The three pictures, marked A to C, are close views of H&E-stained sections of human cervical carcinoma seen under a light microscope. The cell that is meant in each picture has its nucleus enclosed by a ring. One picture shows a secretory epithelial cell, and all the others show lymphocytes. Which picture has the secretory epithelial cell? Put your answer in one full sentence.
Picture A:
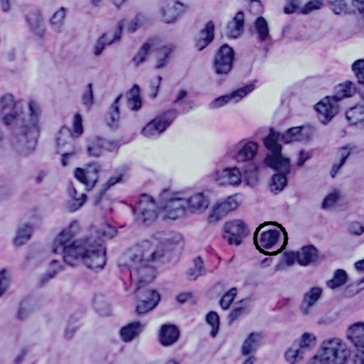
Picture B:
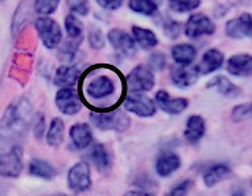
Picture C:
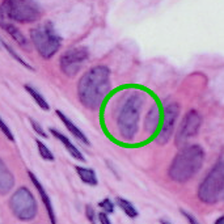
Picture C shows the secretory epithelial cell.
